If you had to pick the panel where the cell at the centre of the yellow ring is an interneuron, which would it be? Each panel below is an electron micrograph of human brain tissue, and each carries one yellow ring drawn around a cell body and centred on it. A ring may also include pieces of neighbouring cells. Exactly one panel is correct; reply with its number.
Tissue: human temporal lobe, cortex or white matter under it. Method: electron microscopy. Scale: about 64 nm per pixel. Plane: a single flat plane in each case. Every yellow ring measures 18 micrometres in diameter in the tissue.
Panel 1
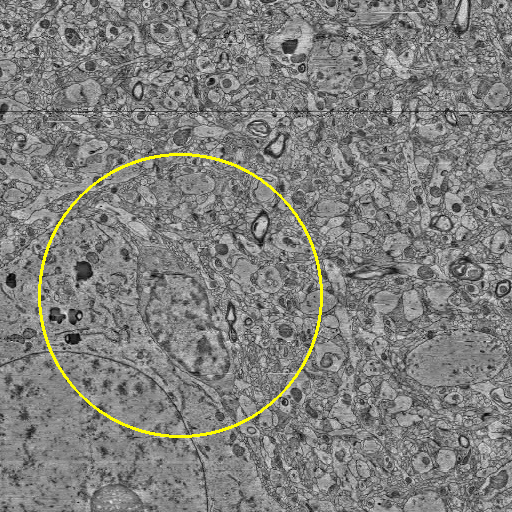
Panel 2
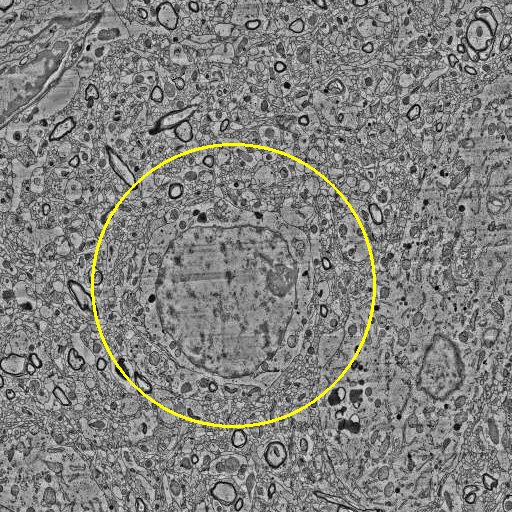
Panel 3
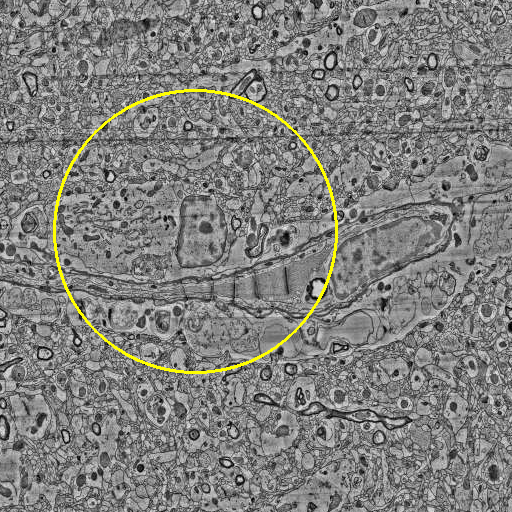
2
